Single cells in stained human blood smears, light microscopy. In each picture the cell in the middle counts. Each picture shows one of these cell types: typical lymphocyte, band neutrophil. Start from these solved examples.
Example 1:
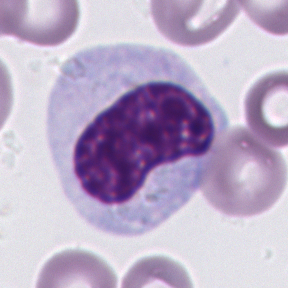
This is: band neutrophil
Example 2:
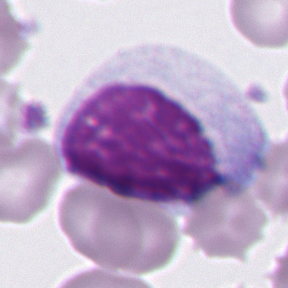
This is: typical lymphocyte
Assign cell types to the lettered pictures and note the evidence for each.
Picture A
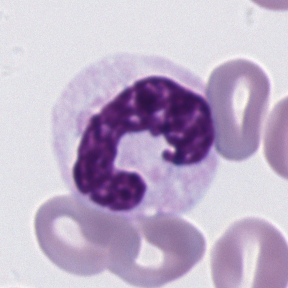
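band neutrophil. Reason: The cytoplasm is abundant and pale pinkish-lilac.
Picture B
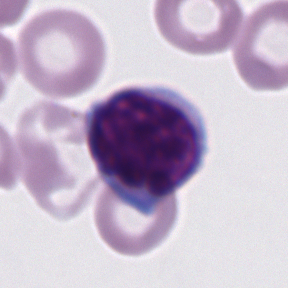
typical lymphocyte. Reason: The cytoplasm forms a narrow rim that stains pale blue.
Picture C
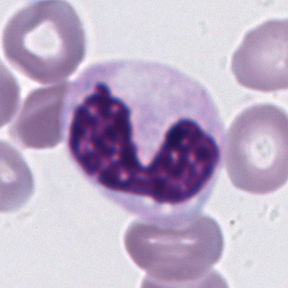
band neutrophil. Reason: The cytoplasm is plentiful and pale lilac-grey.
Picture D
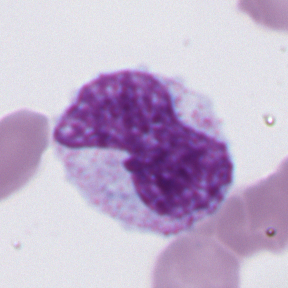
band neutrophil. Reason: The nucleus is a broad folded band, with cytoplasm filling its notch on the lower left.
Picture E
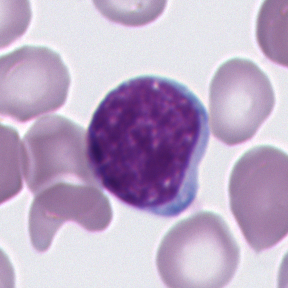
typical lymphocyte. Reason: The cytoplasm is scant and forms only a narrow rim around the nucleus.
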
